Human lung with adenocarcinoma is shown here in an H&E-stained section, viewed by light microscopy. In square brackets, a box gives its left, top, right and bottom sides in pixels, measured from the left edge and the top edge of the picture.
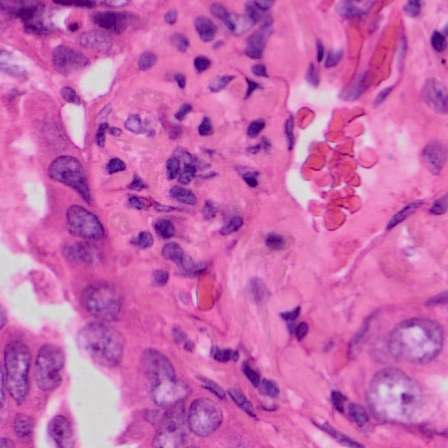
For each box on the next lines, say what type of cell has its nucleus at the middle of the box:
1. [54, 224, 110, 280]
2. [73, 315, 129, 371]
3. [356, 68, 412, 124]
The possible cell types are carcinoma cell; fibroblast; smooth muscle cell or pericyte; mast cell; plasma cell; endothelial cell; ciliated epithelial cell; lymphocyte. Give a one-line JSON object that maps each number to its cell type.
{"1": "carcinoma cell", "2": "carcinoma cell", "3": "endothelial cell"}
